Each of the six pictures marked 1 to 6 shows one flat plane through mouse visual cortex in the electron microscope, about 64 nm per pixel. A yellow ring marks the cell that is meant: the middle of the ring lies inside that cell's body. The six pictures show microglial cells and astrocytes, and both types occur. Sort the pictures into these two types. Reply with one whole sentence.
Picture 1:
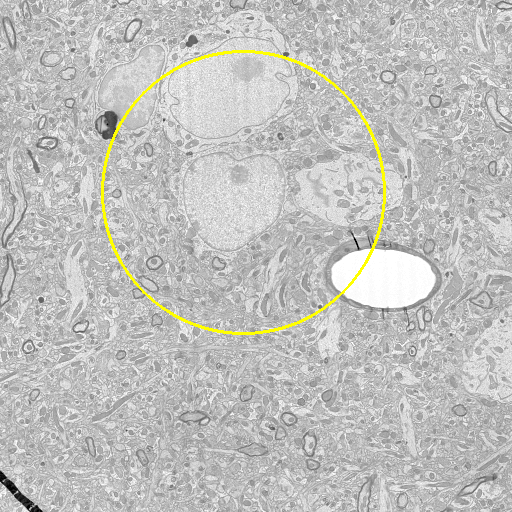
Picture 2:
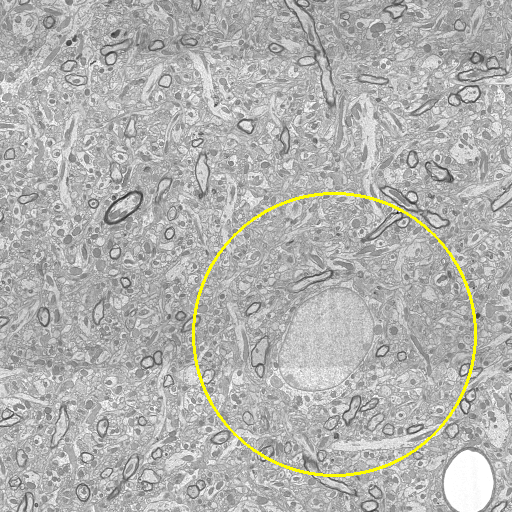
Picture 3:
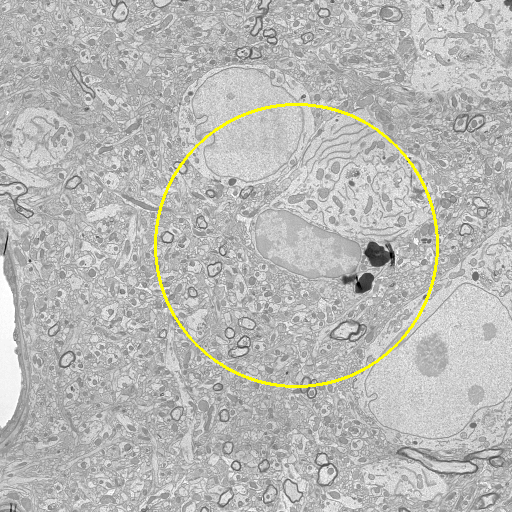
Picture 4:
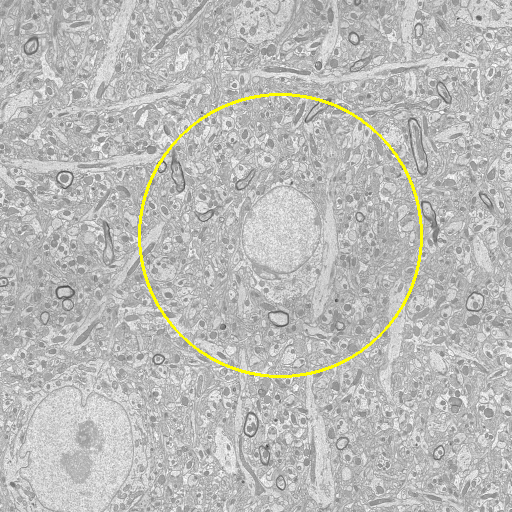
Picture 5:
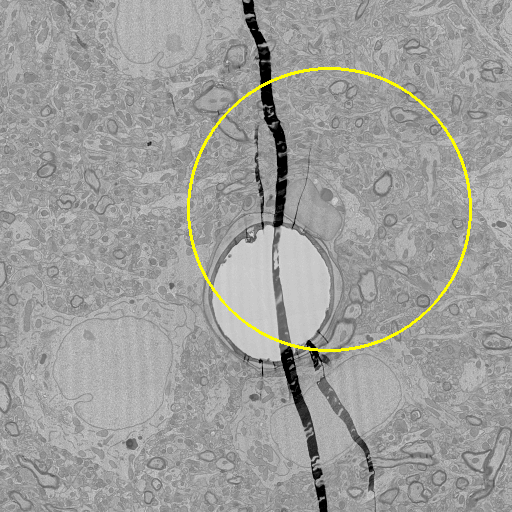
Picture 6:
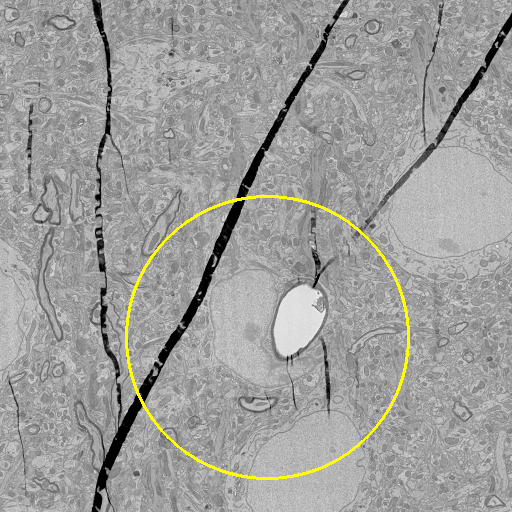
Pictures 3 and 5 show microglial cells; pictures 1, 2, 4 and 6 show astrocytes.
